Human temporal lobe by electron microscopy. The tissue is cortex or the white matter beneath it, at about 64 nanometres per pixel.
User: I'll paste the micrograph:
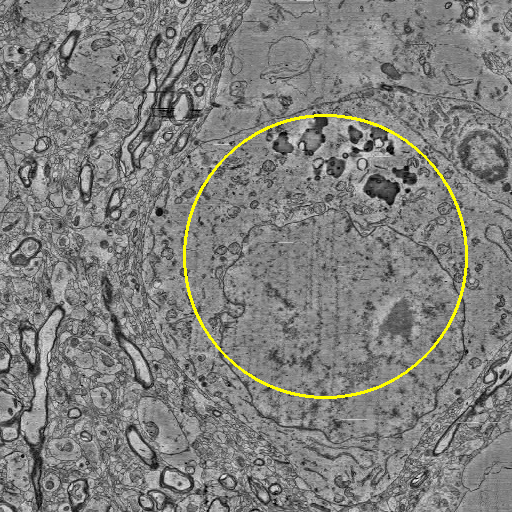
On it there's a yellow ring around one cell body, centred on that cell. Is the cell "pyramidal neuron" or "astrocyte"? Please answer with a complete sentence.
The cell ringed in yellow is a pyramidal neuron.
